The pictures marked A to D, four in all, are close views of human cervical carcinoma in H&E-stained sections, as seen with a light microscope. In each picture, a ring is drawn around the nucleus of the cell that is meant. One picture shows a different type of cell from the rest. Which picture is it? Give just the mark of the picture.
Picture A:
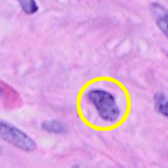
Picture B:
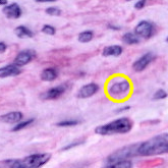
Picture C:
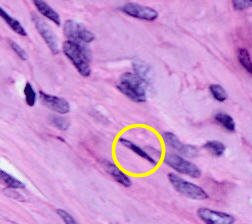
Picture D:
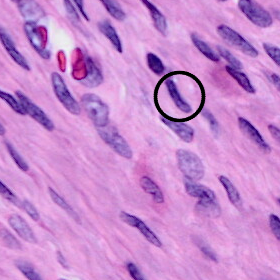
B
